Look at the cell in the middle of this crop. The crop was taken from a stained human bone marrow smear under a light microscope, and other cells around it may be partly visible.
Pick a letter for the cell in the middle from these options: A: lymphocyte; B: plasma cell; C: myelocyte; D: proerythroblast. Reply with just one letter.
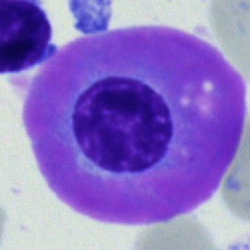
B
